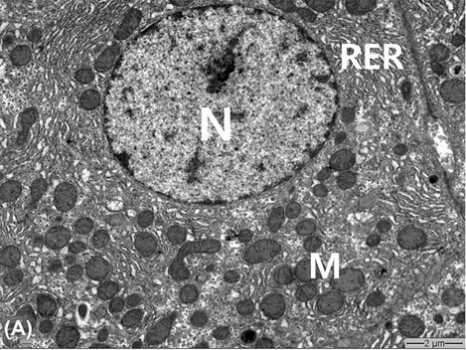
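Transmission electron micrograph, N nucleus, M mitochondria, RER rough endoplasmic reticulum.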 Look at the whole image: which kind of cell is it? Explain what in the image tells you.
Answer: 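A large round central nucleus with dispersed chromatin. Cytoplasm packed with many round and oval mitochondria. Abundant stacked rough endoplasmic reticulum around the nucleus. That points to this answer: hepatocytes.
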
